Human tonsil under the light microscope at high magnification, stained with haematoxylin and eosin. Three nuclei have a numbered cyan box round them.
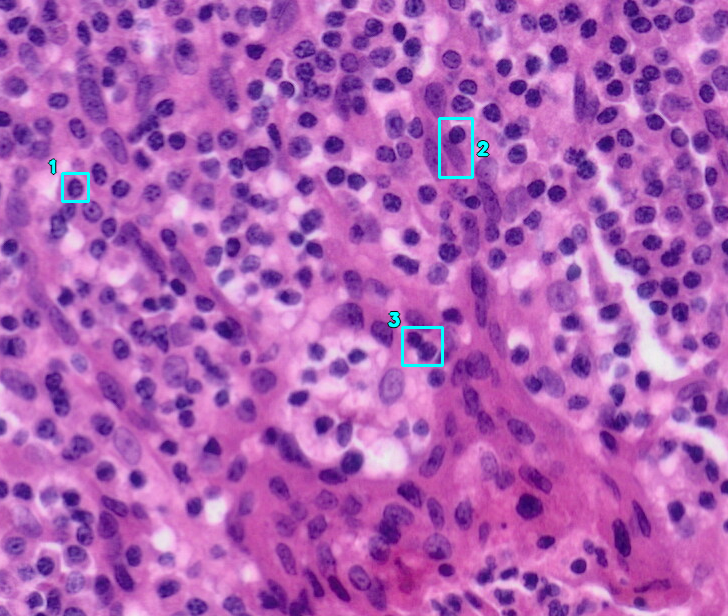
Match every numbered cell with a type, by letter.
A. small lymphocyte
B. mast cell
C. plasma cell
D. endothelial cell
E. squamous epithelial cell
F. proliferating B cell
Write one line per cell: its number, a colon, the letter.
1: C
2: E
3: E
